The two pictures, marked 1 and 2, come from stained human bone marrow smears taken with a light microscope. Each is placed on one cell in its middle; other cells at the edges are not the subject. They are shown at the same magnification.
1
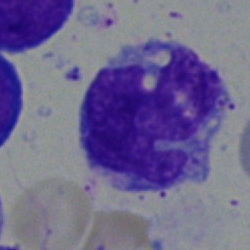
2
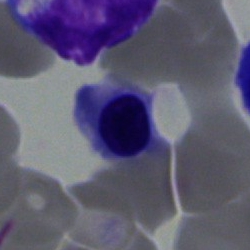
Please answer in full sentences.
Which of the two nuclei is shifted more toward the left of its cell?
It is the nucleus in crop 1 that lies further toward the left of its cell.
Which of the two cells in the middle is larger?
Larger is the cell in crop 1, at roughly 4 times the area of the other.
